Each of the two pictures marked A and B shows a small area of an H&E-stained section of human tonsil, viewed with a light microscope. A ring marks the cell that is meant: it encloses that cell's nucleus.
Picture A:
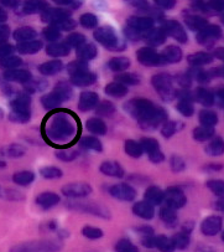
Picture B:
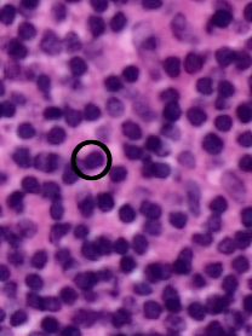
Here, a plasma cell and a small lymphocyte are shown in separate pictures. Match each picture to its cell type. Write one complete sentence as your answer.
In picture A the cell is a plasma cell; in picture B, a small lymphocyte.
